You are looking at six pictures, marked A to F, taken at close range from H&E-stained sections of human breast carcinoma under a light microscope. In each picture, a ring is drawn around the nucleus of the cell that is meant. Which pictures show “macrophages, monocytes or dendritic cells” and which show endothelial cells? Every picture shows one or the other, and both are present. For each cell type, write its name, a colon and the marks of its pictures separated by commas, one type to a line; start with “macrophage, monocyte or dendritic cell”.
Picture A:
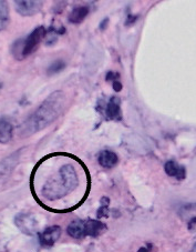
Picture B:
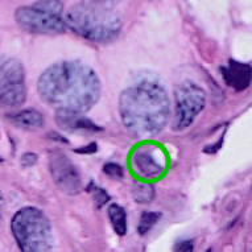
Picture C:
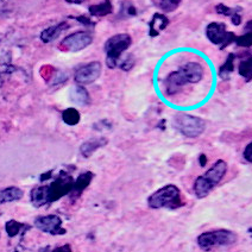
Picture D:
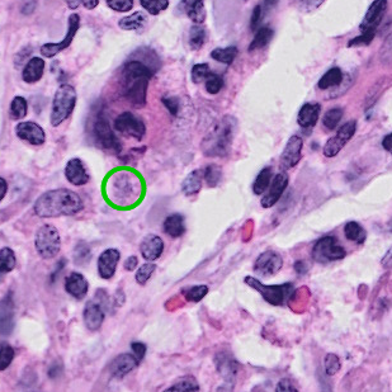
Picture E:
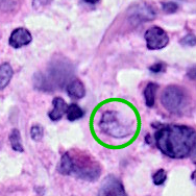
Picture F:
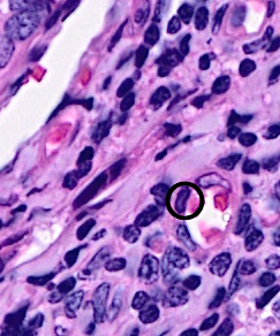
macrophage, monocyte or dendritic cell: A, C, D, E
endothelial cell: B, F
